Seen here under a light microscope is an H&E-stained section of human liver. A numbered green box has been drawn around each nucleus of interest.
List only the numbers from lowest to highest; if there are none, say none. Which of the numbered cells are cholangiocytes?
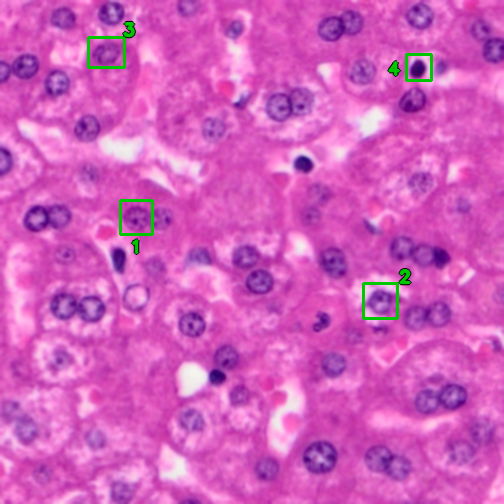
none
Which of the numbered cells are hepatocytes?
1, 2, 3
